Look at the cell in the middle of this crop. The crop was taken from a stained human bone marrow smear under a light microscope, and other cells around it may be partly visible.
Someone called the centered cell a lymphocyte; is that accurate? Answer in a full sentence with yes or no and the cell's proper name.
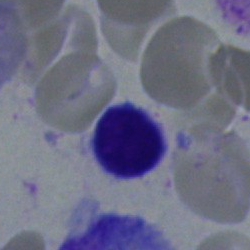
Yes, the middle cell here is a lymphocyte.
